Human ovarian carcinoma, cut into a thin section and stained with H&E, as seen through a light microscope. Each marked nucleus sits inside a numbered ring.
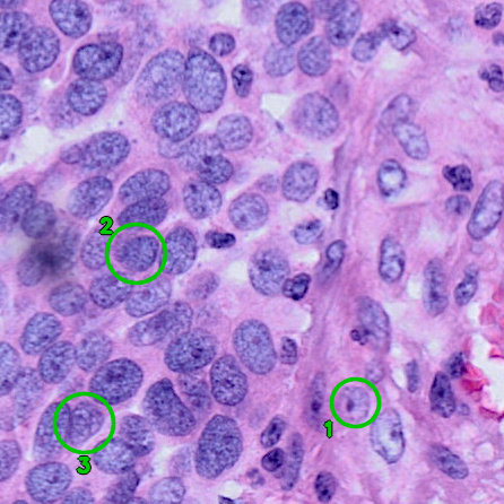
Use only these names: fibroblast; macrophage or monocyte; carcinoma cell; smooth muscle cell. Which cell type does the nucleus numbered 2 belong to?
carcinoma cell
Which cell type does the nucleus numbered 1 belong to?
fibroblast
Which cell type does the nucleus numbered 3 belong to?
carcinoma cell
